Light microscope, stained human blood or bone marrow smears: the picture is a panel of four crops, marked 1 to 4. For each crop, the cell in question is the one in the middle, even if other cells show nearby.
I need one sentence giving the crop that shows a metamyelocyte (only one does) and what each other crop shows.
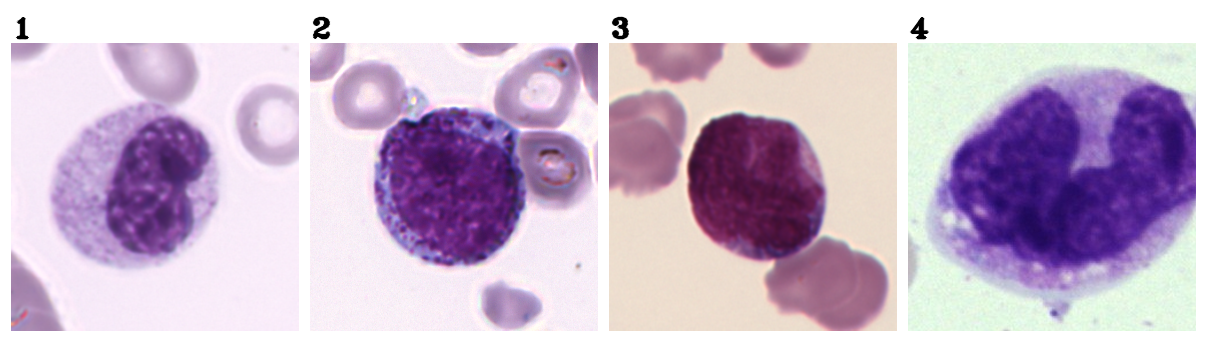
In crop 1 one sees a metamyelocyte, while crop 2 is a promyelocyte, crop 3 is a blast and crop 4 is a monocyte.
